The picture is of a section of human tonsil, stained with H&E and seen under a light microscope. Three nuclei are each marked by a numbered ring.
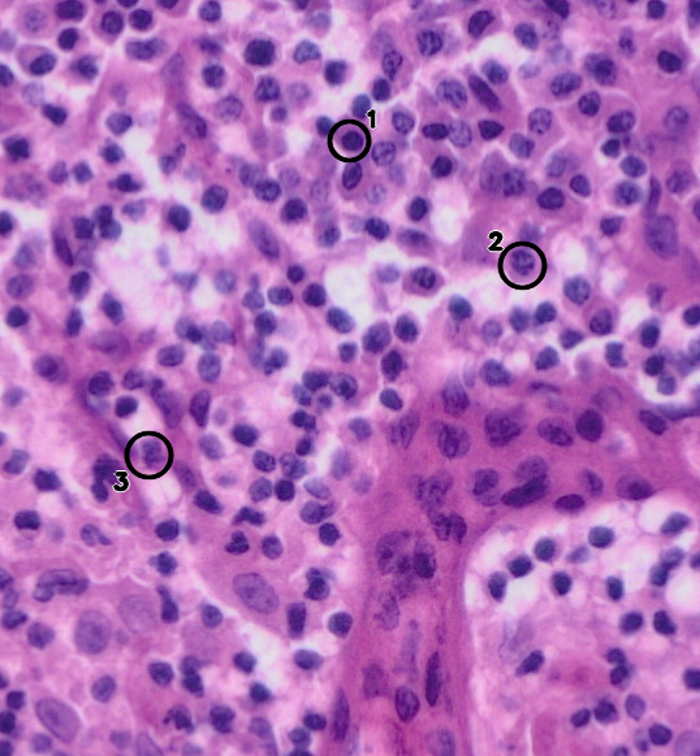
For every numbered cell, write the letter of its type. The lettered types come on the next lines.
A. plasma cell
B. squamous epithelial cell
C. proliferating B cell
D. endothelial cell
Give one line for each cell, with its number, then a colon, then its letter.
1: A
2: A
3: B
